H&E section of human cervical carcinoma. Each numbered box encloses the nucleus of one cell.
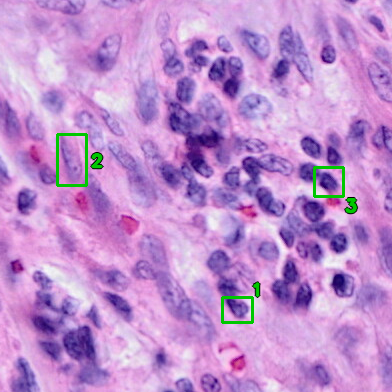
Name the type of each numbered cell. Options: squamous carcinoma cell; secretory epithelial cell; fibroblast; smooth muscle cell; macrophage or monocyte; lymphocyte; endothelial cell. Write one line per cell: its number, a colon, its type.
1: lymphocyte
2: endothelial cell
3: lymphocyte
